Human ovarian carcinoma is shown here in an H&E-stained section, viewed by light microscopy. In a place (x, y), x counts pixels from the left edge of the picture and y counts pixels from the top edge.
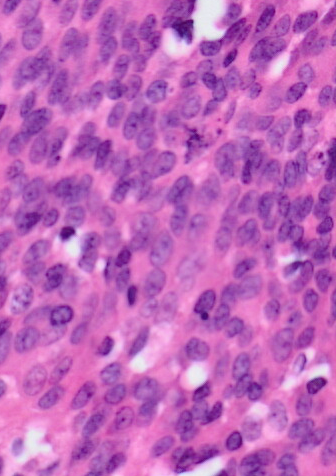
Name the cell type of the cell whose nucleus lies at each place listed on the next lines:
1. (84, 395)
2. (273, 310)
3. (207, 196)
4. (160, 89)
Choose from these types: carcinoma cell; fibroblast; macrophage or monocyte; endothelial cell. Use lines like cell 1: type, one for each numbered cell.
cell 1: carcinoma cell
cell 2: carcinoma cell
cell 3: carcinoma cell
cell 4: macrophage or monocyte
